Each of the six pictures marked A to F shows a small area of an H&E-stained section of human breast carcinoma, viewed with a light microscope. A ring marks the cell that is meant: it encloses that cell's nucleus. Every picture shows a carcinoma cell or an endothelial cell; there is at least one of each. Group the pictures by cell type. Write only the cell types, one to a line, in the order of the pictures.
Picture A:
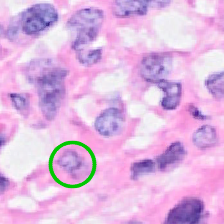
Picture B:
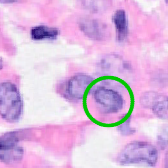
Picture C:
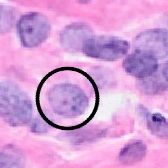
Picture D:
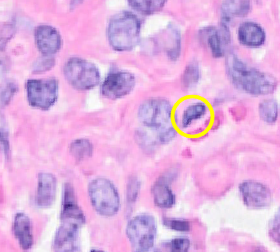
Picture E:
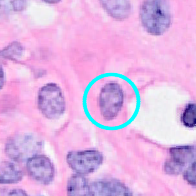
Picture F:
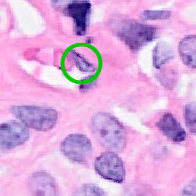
endothelial cell
carcinoma cell
carcinoma cell
endothelial cell
carcinoma cell
endothelial cell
